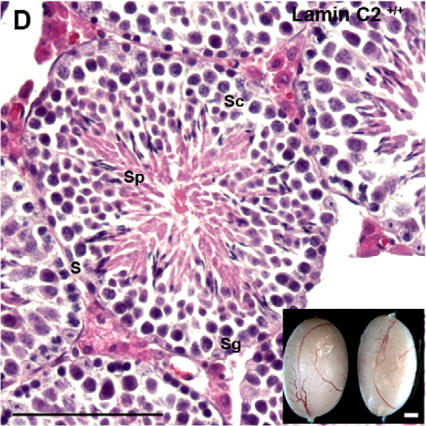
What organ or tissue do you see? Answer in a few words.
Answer: testes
